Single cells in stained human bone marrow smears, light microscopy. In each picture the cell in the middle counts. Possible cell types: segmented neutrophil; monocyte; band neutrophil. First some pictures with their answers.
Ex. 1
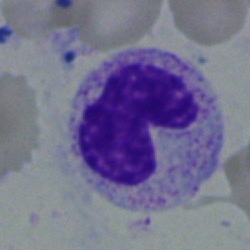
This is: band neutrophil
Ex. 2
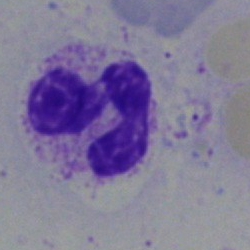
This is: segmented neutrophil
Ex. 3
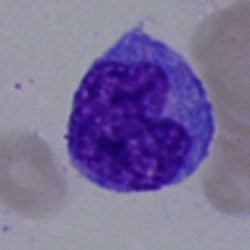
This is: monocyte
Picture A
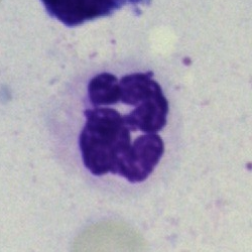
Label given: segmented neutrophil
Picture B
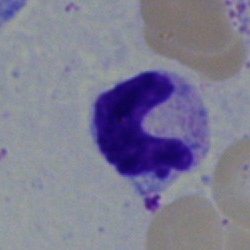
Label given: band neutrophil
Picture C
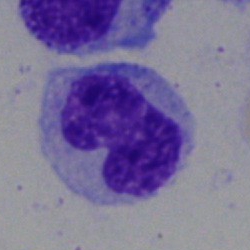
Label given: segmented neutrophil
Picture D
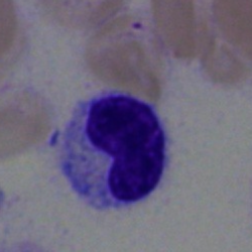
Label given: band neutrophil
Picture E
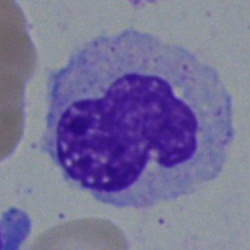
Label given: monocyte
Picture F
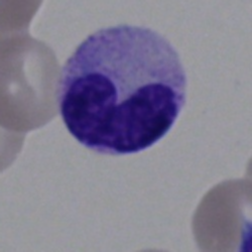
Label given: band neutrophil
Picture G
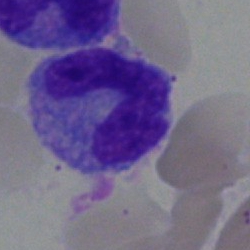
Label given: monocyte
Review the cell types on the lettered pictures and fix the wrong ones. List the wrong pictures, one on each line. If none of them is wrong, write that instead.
C should be band neutrophil, not segmented neutrophil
